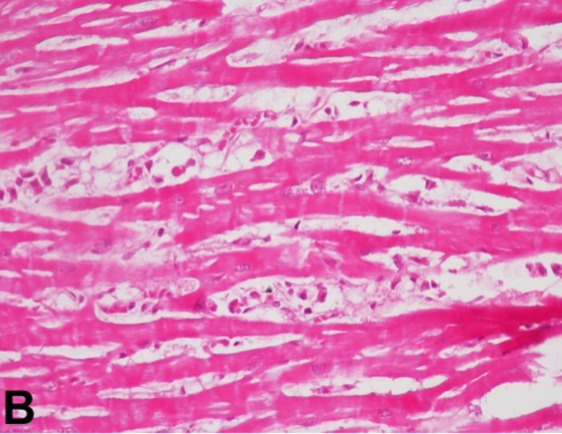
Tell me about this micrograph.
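Myocardium at higher magnification, showing pink cardiac muscle fibres separated by wide, clear interstitial spaces. Within these spaces lie small clusters of cells with rounded to irregular dark nuclei, which form a mild mixed inflammatory infiltrate. The muscle fibres between the spaces stay deeply eosinophilic and parallel.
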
